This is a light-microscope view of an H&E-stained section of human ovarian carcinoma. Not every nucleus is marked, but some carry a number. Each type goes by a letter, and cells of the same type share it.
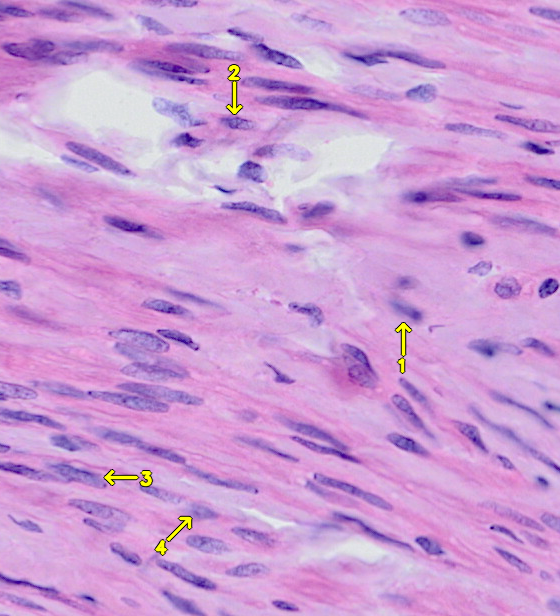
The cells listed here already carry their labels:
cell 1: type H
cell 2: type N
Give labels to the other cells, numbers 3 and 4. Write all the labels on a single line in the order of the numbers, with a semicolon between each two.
type N; type N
